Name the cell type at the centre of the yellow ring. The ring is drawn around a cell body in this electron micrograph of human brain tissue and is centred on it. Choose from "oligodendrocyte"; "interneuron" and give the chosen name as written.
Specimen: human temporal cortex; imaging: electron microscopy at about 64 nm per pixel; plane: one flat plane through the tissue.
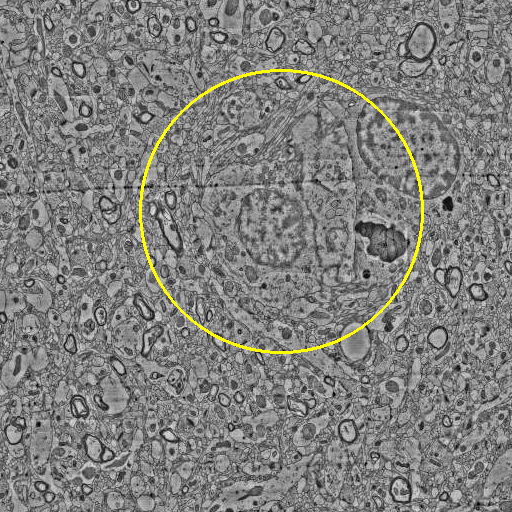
interneuron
